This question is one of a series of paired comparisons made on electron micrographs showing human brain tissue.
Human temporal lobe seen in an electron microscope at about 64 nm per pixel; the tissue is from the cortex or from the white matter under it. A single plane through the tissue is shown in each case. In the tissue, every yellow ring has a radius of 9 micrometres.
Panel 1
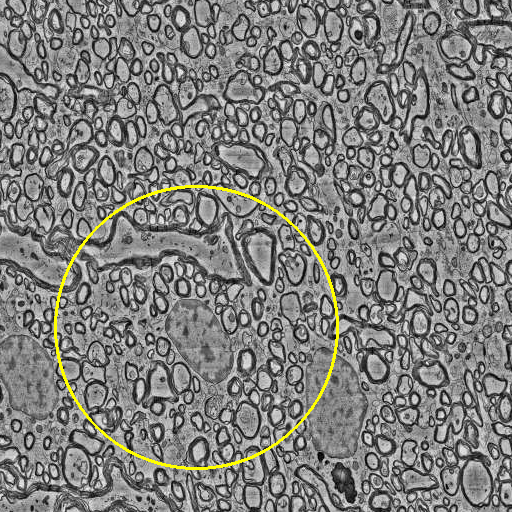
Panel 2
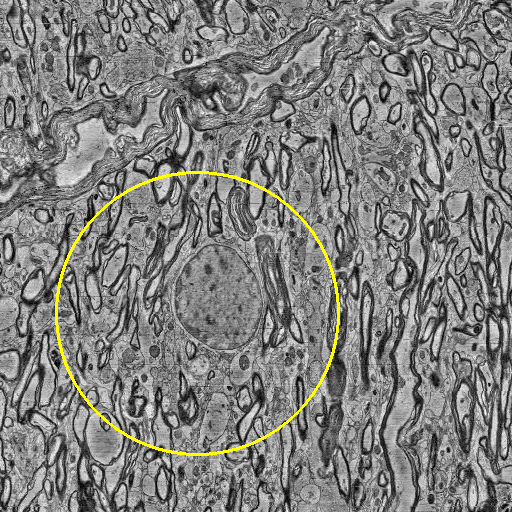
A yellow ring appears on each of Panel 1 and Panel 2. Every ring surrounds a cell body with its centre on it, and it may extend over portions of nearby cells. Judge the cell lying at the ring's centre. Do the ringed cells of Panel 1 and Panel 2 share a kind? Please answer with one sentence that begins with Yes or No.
Yes, the ring-centre cell in Panel 1 and the one in Panel 2 are of one kind.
